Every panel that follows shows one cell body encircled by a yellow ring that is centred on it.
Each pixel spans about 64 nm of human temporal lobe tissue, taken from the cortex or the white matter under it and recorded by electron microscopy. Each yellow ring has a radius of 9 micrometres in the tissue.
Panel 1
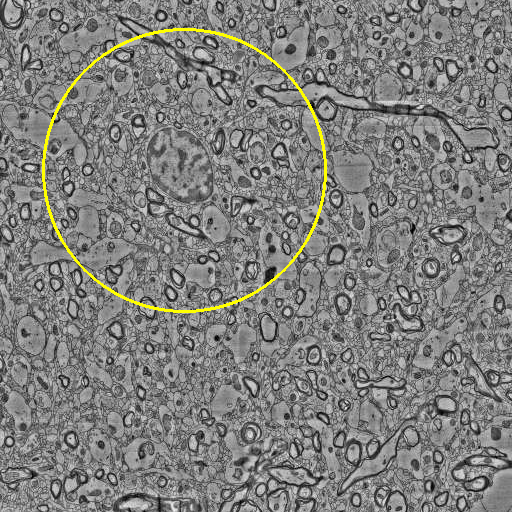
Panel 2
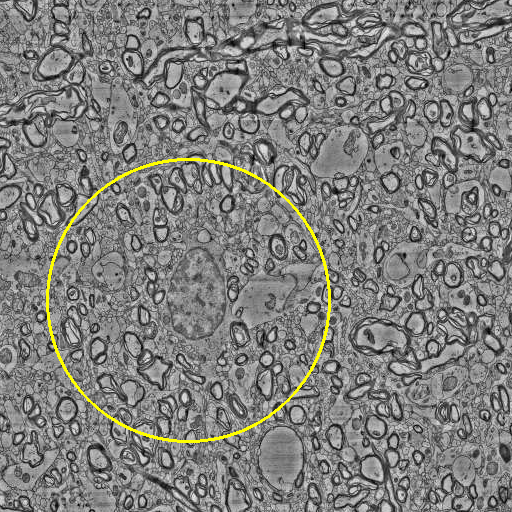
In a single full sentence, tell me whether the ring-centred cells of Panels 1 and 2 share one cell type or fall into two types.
In Panel 1 and Panel 2, the cells at the ring centres fall into two types.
